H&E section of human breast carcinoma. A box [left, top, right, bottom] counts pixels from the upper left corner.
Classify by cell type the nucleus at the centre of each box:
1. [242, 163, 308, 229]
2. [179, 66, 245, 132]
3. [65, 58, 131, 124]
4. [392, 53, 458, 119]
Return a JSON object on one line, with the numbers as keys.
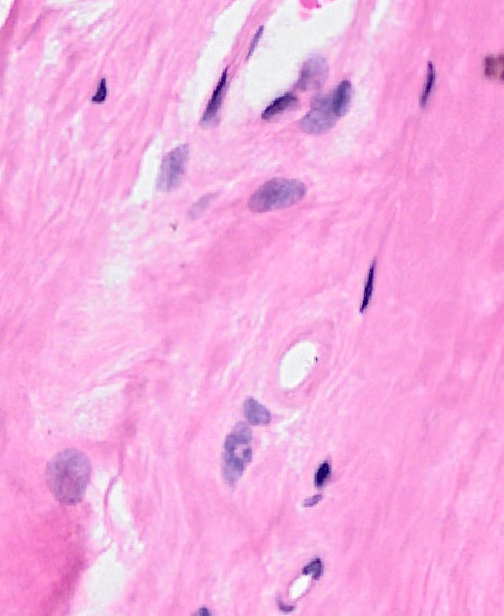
{"1": "fibroblast", "2": "endothelial cell", "3": "fibroblast", "4": "fibroblast"}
